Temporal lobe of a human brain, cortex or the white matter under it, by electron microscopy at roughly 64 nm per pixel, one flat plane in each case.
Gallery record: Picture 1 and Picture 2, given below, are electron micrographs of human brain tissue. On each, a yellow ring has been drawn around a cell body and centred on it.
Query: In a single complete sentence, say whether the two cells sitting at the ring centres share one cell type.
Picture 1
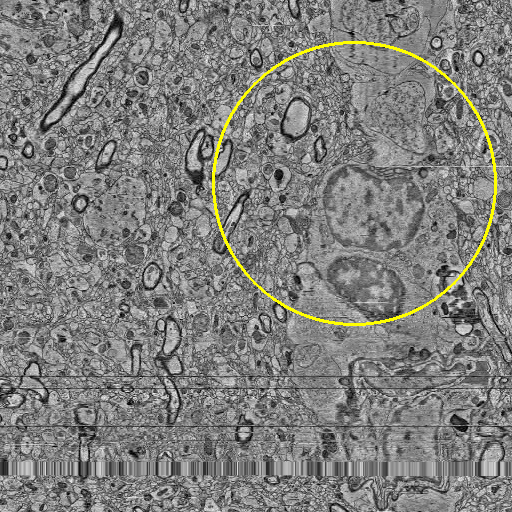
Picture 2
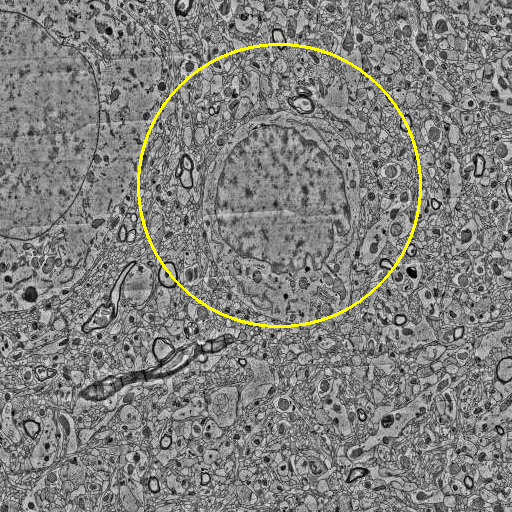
No, in the two pictures the cells at the rings' centres are of two separate types.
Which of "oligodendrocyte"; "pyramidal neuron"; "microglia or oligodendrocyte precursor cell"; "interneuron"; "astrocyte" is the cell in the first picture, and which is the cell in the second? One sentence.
The two differ: the first cell is an oligodendrocyte and the second is an interneuron.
